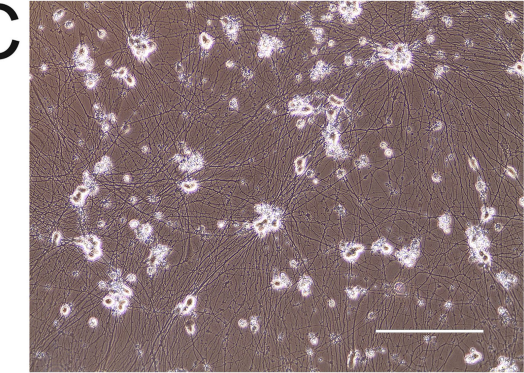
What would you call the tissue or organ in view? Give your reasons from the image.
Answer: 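Dense meshwork of fine processes covers the field. Processes radiate from clusters of phase-bright cell bodies. On this evidence: neural culture.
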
